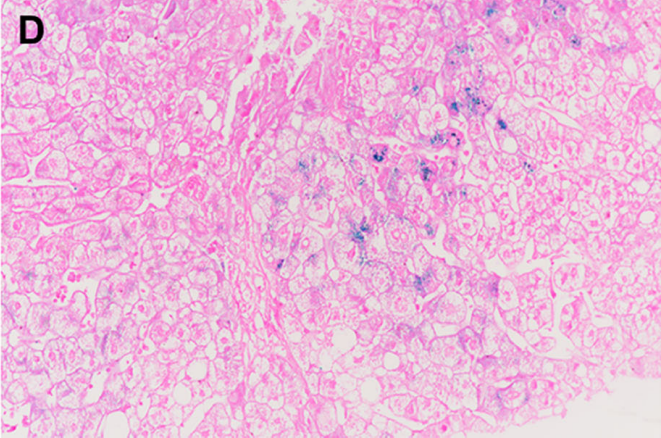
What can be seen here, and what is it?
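This is liver tissue composed of large polygonal hepatocytes with distinct pink cell borders and pale, finely granular cytoplasm. A band of pink fibrous tissue crosses the field between plates of liver cells. Round nuclei are visible in many hepatocytes, and a few clear round vacuoles are present in the cytoplasm.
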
